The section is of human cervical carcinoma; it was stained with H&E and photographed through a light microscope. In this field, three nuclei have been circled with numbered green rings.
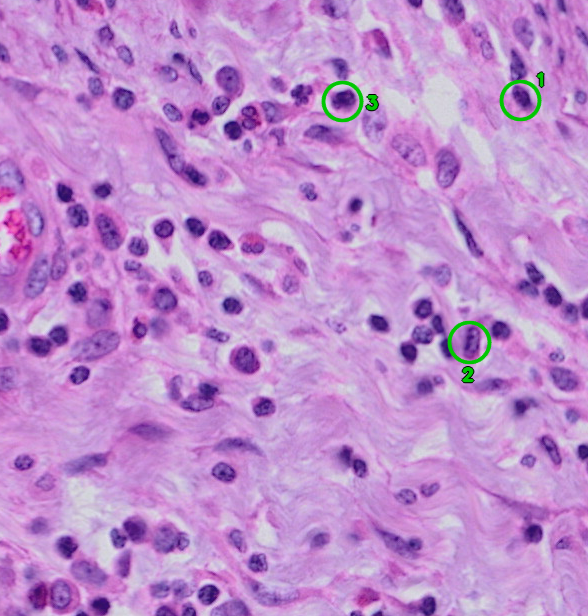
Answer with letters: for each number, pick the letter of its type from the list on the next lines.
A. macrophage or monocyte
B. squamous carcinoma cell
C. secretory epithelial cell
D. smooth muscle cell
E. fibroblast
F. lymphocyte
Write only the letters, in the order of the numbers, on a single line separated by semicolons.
F; A; F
